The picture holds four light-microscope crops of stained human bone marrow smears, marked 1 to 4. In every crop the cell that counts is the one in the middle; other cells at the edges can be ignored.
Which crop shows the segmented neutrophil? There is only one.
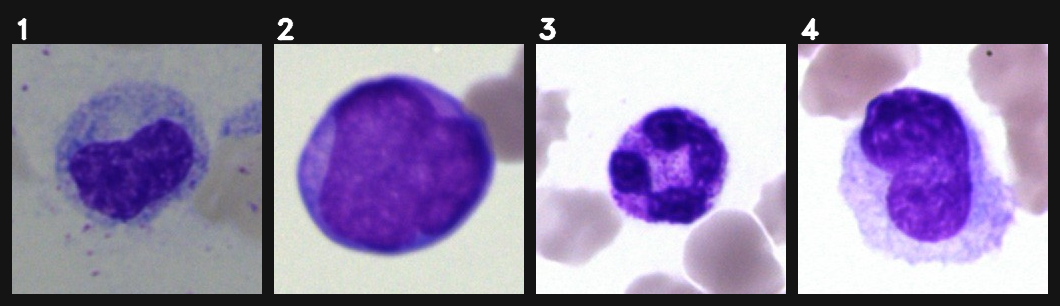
3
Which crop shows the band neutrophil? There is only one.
1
